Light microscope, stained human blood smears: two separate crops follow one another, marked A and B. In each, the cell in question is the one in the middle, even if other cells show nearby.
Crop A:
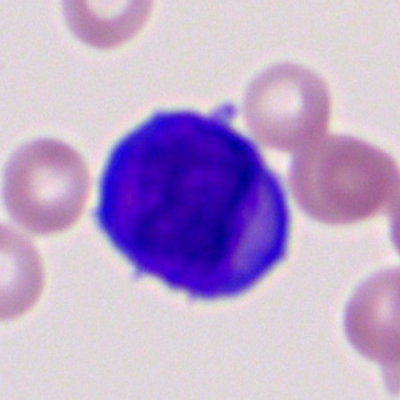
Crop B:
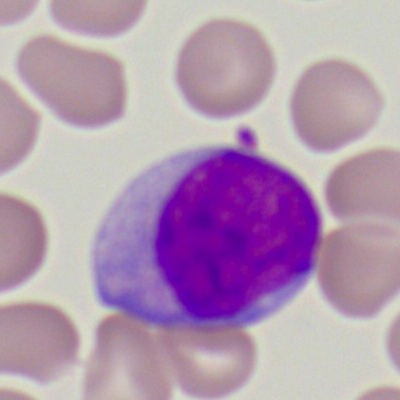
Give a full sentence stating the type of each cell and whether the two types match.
Yes, the cells that the two crops centre on are myeloblasts.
